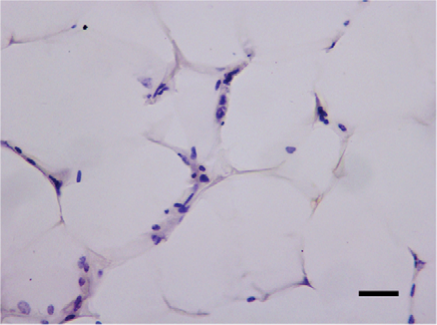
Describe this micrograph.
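This is white adipose tissue made of large unilocular fat cells. The cells are rounded to polygonal and are packed closely together. Only a very thin rim of cytoplasm and membrane separates neighbouring cells. Small, flattened, dark blue nuclei are pressed to the edges of the cells. In several places, more nuclei are gathered in the narrow spaces between the fat cells. These clusters lie where three or more cells meet, along the thin connective tissue septa.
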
